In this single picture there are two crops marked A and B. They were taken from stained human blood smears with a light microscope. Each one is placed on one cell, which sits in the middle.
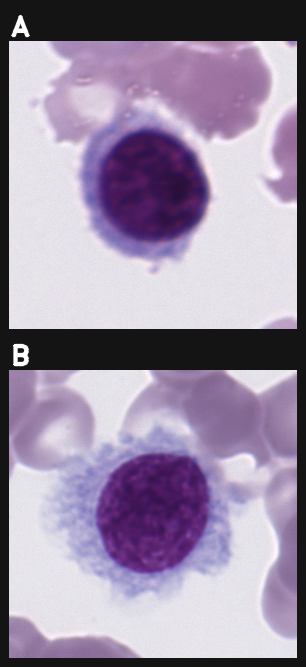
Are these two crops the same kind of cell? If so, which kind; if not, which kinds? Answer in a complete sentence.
Yes, both crops alike show hairy cells at the centre.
